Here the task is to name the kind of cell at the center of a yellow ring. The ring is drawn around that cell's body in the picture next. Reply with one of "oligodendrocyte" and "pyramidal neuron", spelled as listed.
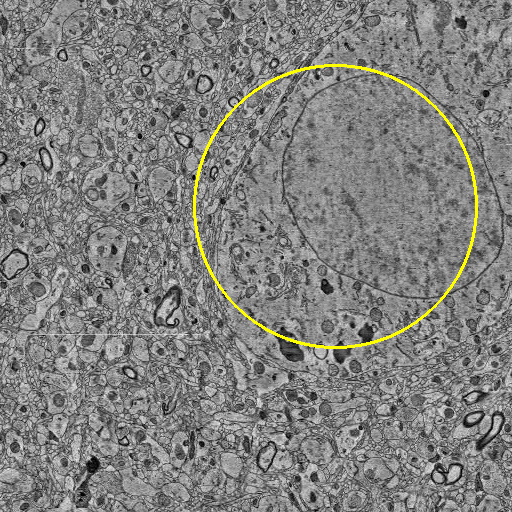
pyramidal neuron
